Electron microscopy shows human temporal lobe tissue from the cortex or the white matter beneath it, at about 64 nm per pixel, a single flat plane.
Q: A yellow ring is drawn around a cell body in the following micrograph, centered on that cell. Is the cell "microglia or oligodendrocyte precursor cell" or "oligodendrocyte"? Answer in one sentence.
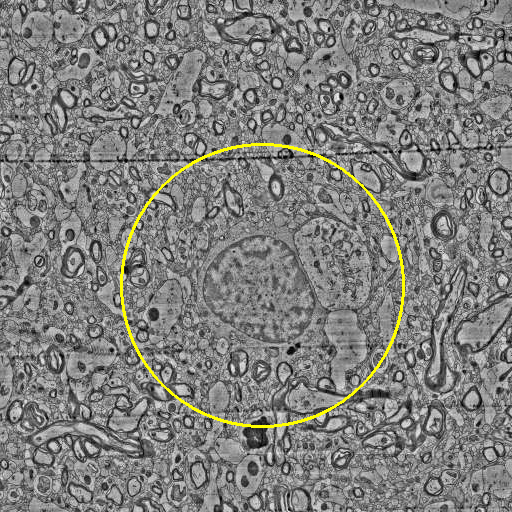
The cell in the center of the ring is an oligodendrocyte.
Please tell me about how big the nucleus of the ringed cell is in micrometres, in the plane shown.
In this plane the nucleus spans approximately 7 by 6 micrometers.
